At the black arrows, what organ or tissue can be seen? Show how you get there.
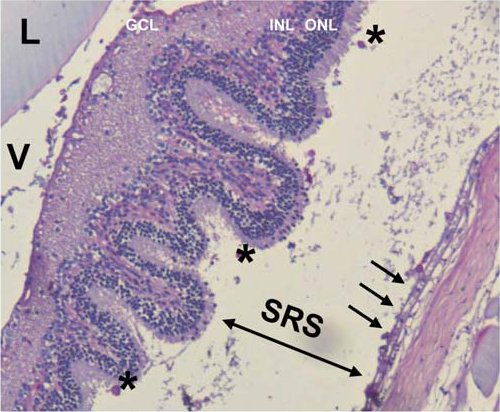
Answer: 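The arrows point to a thin single layer of cells lining the outer eye wall. The layer lies across the empty space from the detached retina. The answer: Retinal Pigment Epithelium.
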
